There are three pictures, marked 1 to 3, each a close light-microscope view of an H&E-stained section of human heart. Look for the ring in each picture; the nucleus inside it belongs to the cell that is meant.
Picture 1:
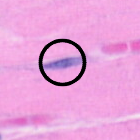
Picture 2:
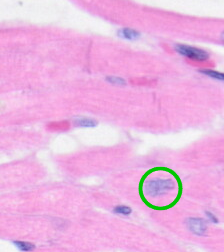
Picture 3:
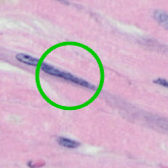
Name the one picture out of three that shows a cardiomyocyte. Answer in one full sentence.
The picture with the cardiomyocyte is 2.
